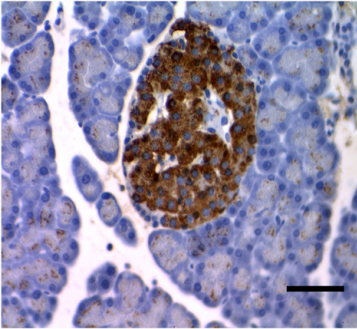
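This is a pancreatic islet embedded in exocrine pancreatic tissue. The oval islet consists of closely packed cells with brown-stained cytoplasm and round blue nuclei, with a few pale spaces within it. It is bordered by acini whose cells have pale, finely granular cytoplasm and blue nuclei.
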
